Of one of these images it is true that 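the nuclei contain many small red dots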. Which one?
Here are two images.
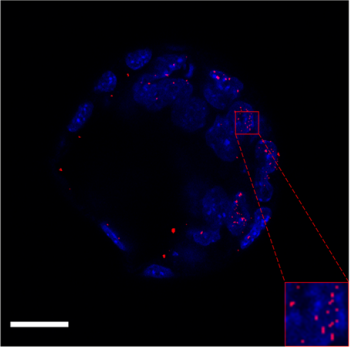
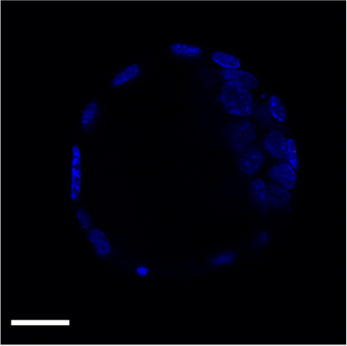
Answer: the first image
